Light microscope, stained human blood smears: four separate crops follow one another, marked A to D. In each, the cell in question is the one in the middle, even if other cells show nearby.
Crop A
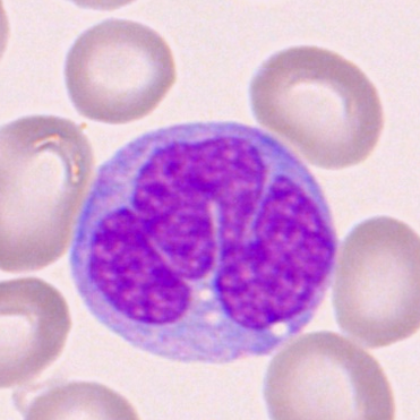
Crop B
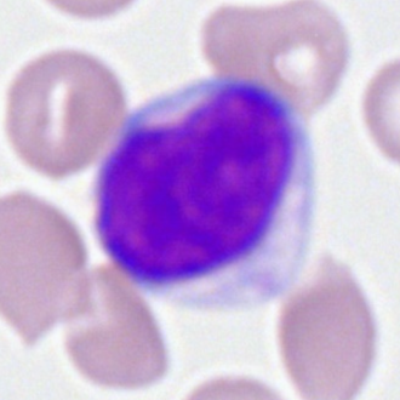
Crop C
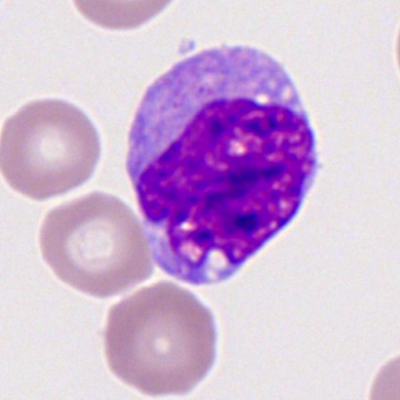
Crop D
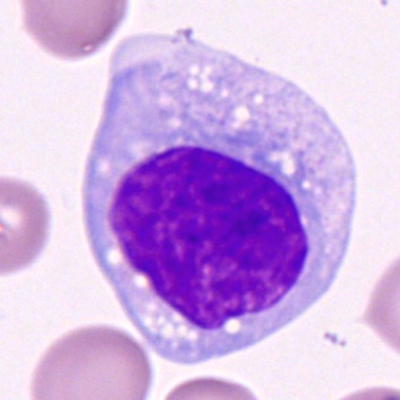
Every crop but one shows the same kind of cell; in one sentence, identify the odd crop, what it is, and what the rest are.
Crop B is the one to flag: it is a lymphocyte, and the rest show monocytes.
